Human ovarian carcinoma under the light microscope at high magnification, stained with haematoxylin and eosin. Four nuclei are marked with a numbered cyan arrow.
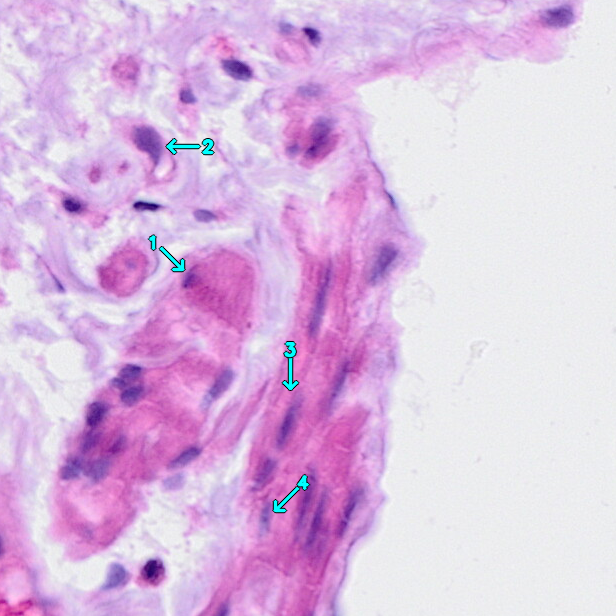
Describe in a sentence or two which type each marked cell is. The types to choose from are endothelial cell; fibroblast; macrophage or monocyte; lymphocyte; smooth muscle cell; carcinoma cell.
Cell 1 is a smooth muscle cell, cell 2 is an endothelial cell, cell 3 is a smooth muscle cell and cell 4 is a smooth muscle cell.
